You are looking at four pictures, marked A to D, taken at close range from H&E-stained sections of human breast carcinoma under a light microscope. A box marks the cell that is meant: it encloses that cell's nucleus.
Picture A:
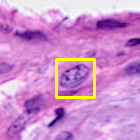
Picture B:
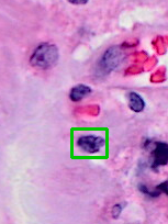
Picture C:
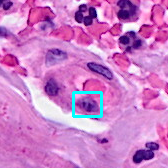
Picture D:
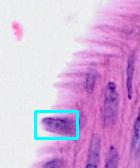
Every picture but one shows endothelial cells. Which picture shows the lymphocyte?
B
